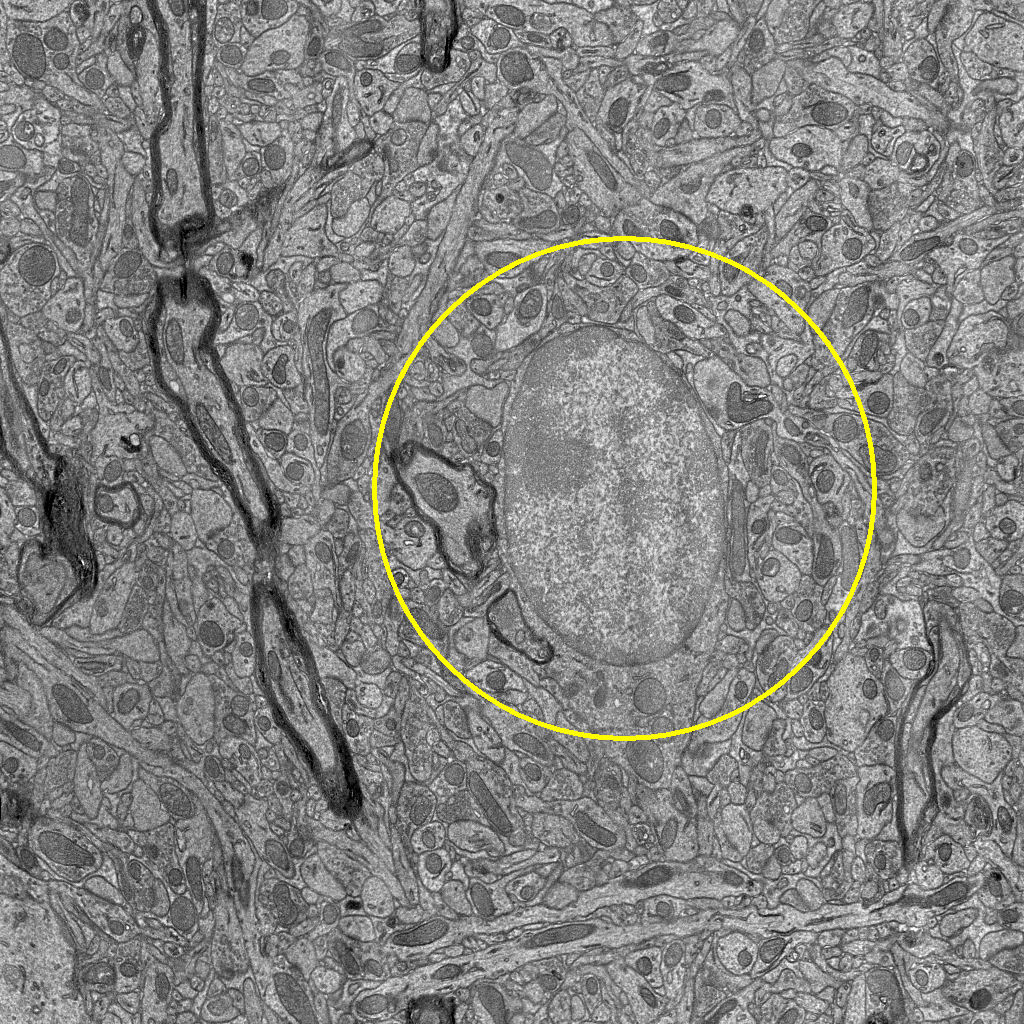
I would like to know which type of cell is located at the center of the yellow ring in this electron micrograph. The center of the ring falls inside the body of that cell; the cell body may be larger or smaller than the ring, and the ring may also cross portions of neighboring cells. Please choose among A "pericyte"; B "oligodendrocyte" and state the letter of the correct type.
B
